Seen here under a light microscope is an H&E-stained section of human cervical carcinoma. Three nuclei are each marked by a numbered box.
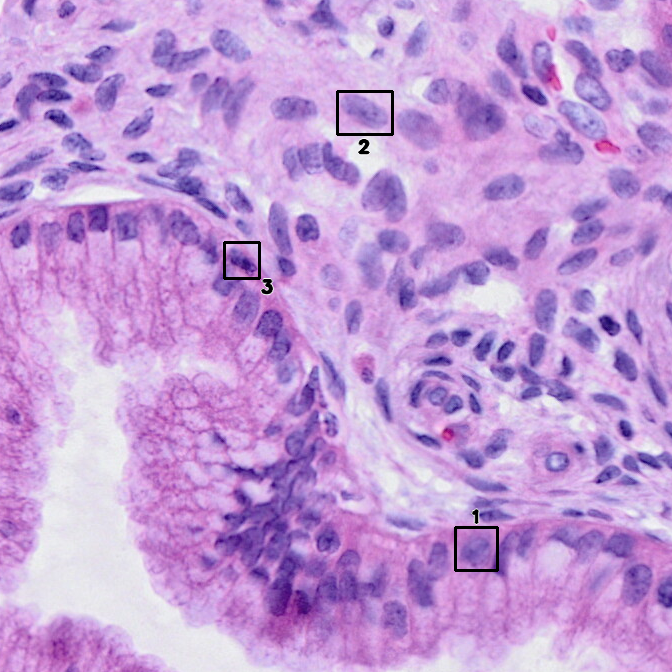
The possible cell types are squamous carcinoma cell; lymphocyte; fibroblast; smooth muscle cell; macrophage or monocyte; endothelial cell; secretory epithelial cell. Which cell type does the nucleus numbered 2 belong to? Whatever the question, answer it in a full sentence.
The correct label for cell 2 is a fibroblast.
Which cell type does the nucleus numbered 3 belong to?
The cell that carries the label 3 is a secretory epithelial cell.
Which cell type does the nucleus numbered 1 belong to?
The cell given label 1 is a secretory epithelial cell.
